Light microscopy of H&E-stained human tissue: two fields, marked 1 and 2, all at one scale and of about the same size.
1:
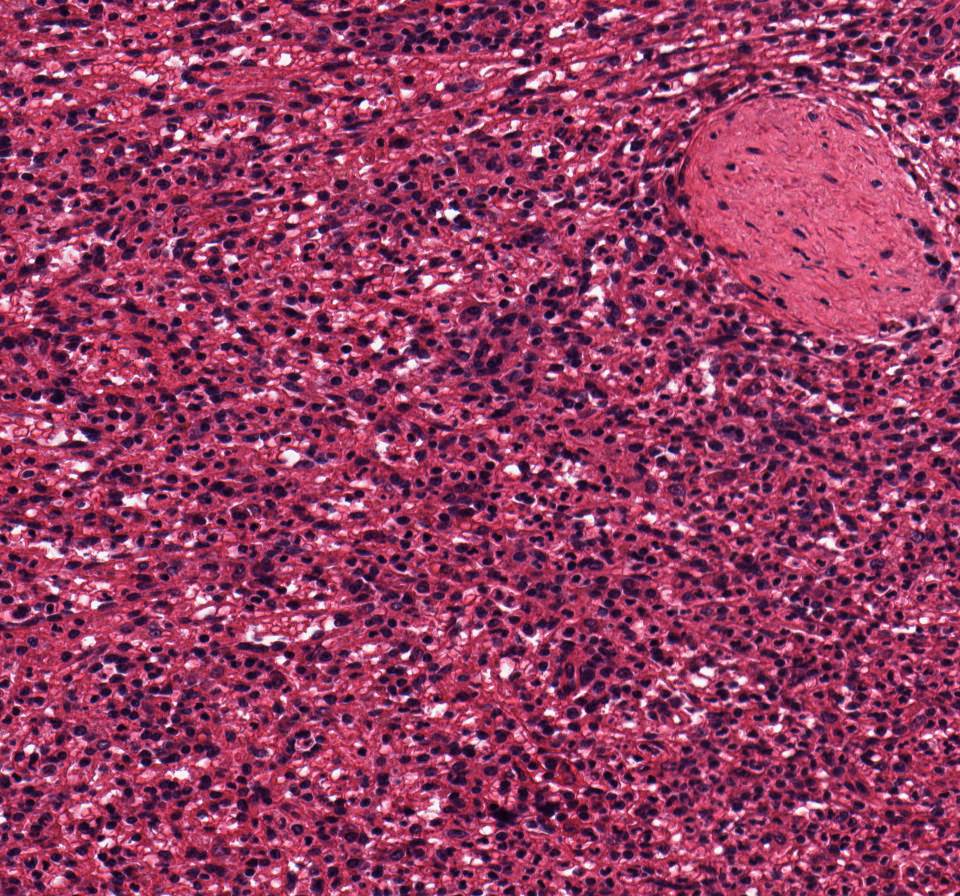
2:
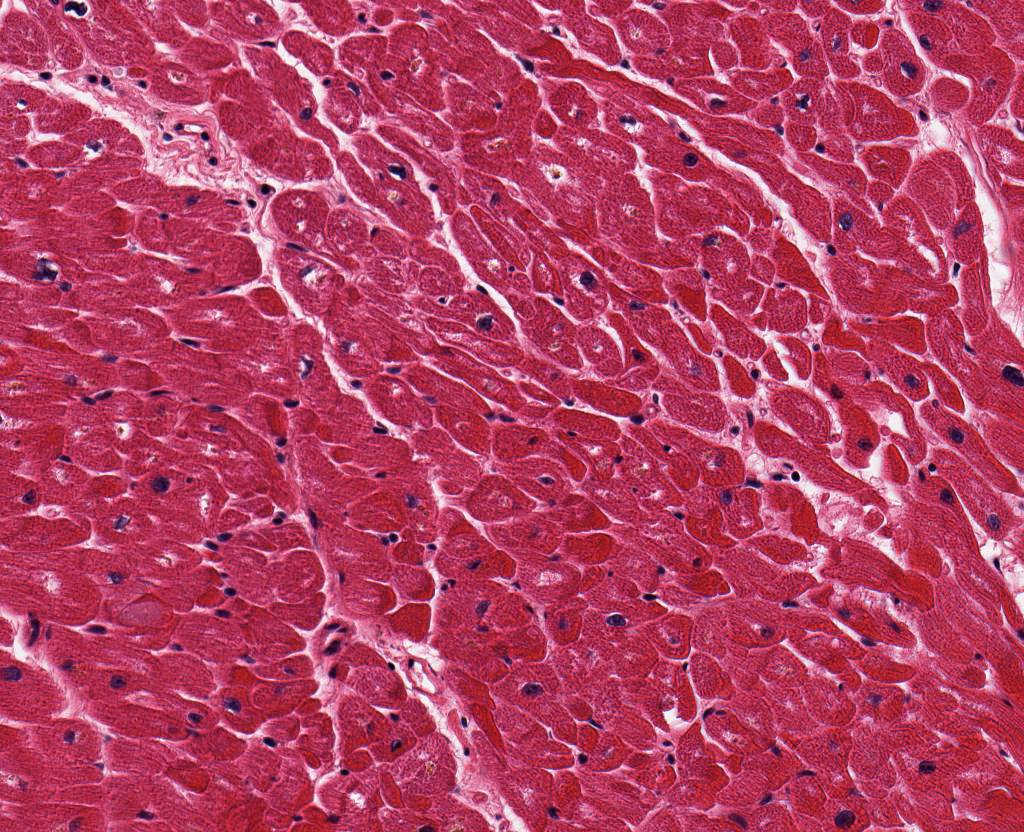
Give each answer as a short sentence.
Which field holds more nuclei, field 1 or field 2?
There are more nuclei in field 1.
